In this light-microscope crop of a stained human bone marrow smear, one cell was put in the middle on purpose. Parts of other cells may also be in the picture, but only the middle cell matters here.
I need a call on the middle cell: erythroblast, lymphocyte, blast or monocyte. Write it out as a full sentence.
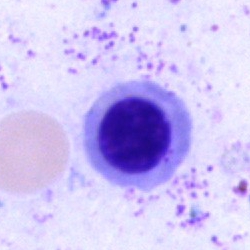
The cell at the central position in this crop is an erythroblast.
